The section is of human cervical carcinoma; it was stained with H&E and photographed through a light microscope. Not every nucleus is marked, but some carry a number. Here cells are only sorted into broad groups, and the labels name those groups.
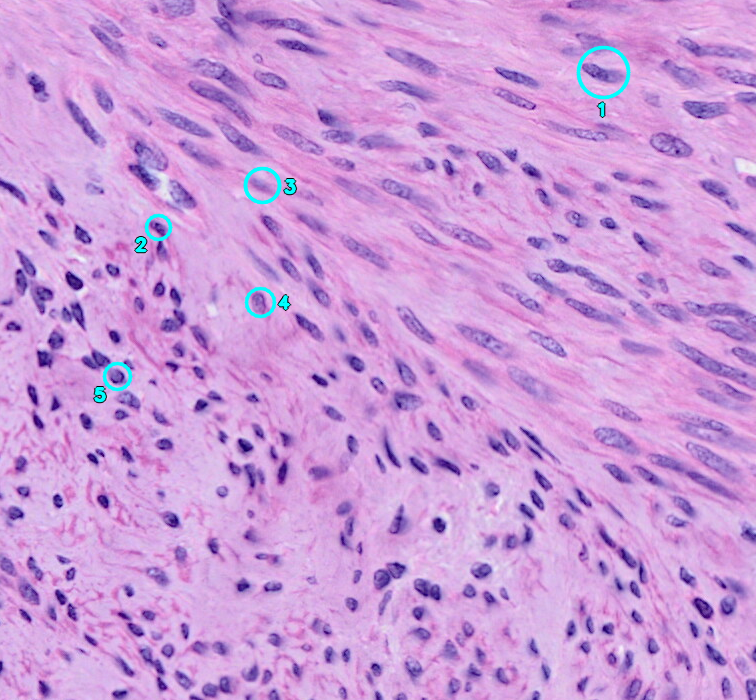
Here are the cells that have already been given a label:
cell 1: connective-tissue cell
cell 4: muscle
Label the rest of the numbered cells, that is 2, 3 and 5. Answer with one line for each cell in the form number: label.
2: muscle
3: muscle
5: connective-tissue cell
